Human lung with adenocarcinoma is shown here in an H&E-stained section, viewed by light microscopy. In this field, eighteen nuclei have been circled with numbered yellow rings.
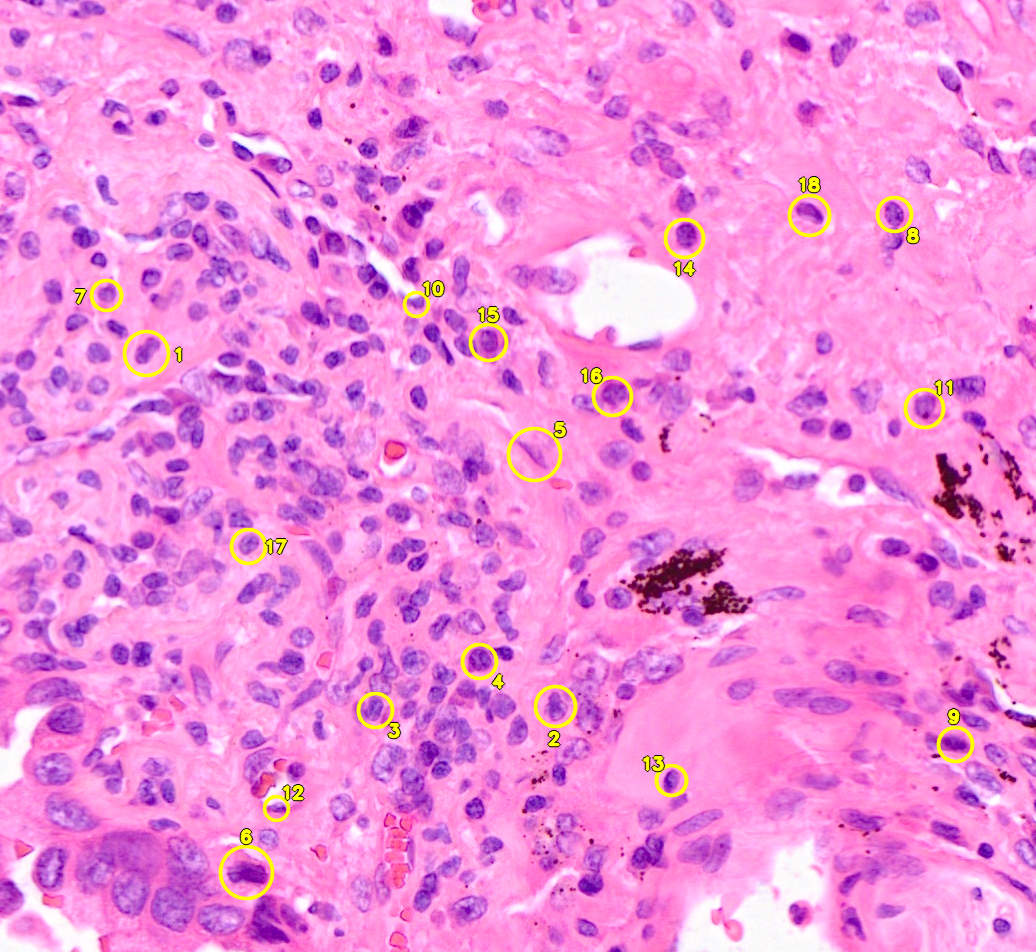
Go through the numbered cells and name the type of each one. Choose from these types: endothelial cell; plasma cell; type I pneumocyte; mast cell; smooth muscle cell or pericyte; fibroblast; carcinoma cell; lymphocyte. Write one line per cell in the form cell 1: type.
cell 1: lymphocyte
cell 2: lymphocyte
cell 3: lymphocyte
cell 4: plasma cell
cell 5: endothelial cell
cell 6: carcinoma cell
cell 7: plasma cell
cell 8: mast cell
cell 9: plasma cell
cell 10: lymphocyte
cell 11: plasma cell
cell 12: endothelial cell
cell 13: mast cell
cell 14: plasma cell
cell 15: plasma cell
cell 16: plasma cell
cell 17: lymphocyte
cell 18: fibroblast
